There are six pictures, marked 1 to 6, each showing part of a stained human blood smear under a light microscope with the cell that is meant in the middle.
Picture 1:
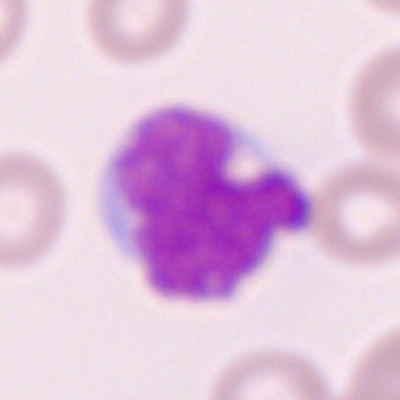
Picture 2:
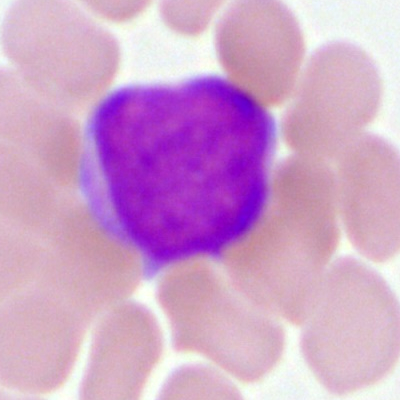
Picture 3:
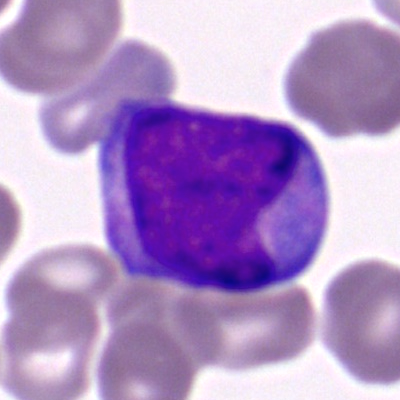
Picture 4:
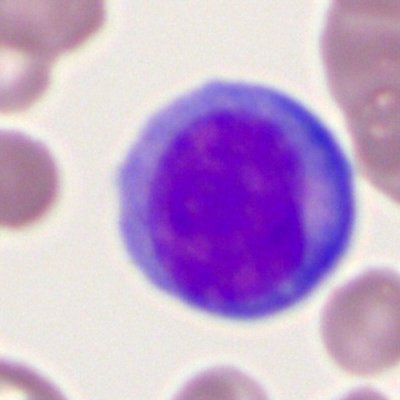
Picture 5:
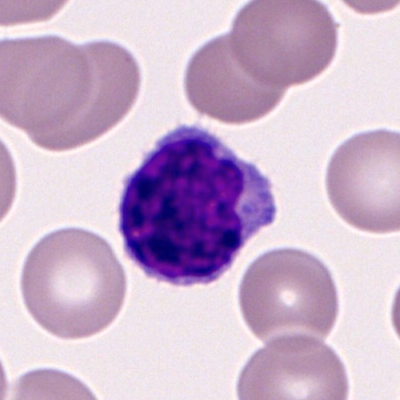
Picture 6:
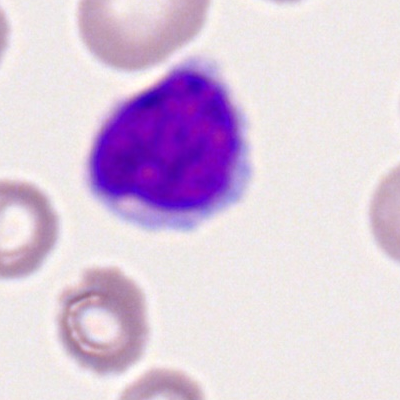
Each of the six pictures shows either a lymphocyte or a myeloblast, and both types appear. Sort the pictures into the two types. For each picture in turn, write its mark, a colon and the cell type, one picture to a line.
1: myeloblast
2: myeloblast
3: myeloblast
4: myeloblast
5: lymphocyte
6: lymphocyte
